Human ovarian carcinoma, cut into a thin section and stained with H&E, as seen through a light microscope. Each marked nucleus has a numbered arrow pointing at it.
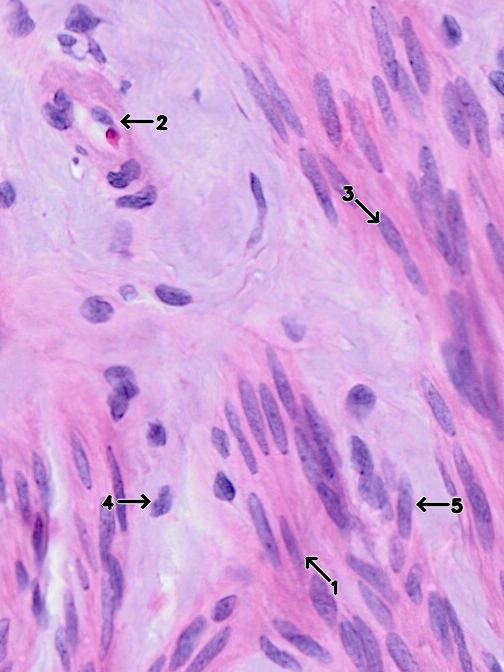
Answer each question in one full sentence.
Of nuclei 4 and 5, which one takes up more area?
Number 5 is larger; its area is about 1.5 times that of number 4.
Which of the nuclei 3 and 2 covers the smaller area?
Nucleus 2 covers less area, with nucleus 3 about 1.5 times as large.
